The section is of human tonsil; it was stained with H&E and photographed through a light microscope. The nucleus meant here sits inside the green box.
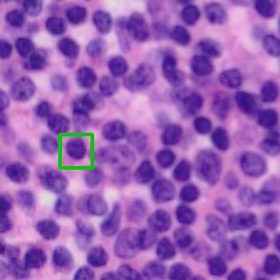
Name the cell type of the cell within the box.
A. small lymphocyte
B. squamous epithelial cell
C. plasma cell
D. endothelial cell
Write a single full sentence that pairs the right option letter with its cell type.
Right answer, option A: the cell within the box is a small lymphocyte.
